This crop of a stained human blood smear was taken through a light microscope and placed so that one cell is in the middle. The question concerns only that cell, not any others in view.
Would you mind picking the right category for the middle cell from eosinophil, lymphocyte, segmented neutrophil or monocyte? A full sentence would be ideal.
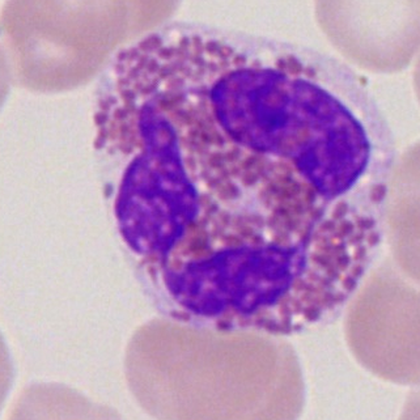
The cell sitting right in the middle is an eosinophil.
